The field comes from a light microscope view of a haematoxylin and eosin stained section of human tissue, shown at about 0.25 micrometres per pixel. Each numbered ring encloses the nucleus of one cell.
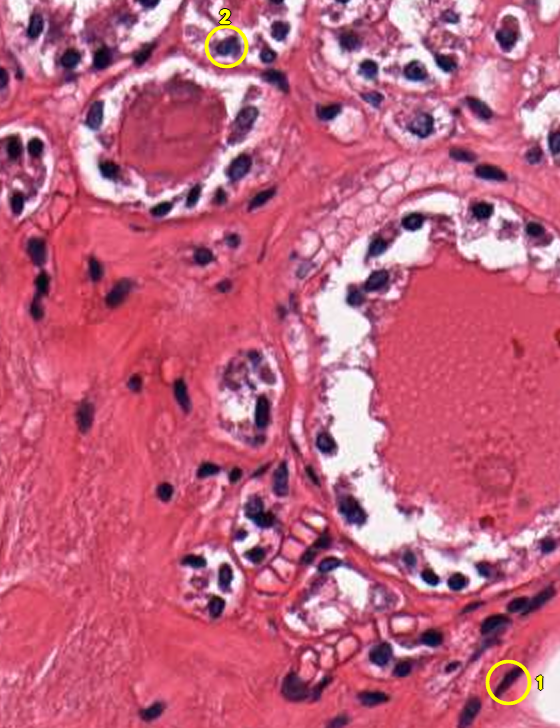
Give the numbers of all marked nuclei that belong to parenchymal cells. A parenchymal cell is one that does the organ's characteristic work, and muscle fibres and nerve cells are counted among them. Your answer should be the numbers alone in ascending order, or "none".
2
